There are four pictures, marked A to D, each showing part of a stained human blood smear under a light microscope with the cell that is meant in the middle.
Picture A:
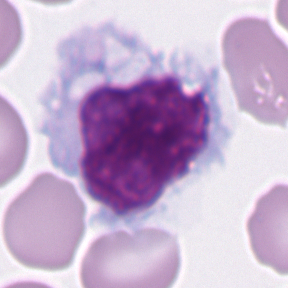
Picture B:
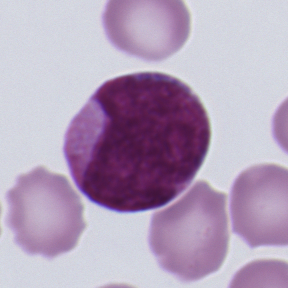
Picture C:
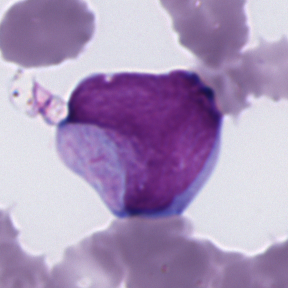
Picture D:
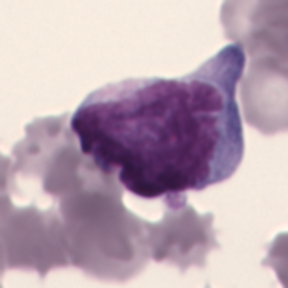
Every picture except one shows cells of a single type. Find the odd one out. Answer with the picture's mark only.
A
